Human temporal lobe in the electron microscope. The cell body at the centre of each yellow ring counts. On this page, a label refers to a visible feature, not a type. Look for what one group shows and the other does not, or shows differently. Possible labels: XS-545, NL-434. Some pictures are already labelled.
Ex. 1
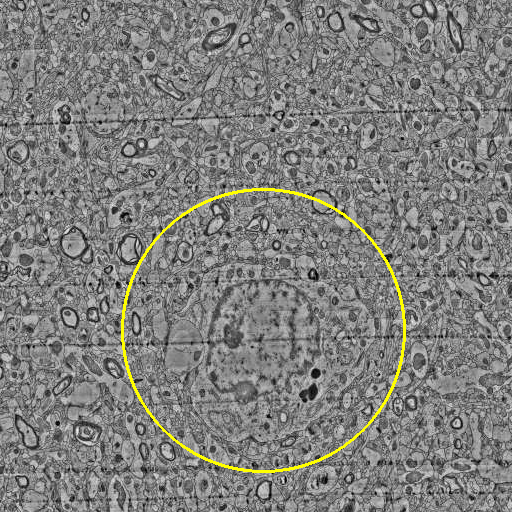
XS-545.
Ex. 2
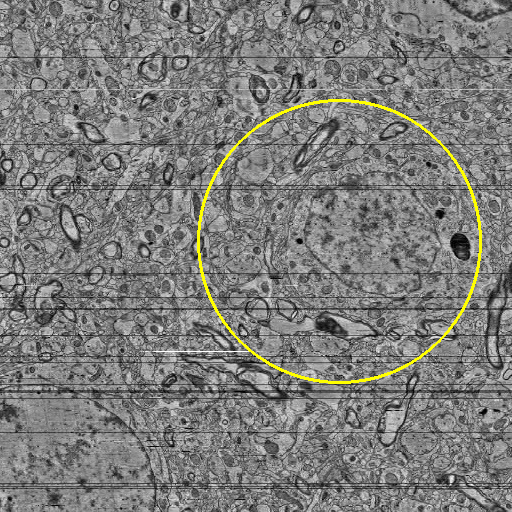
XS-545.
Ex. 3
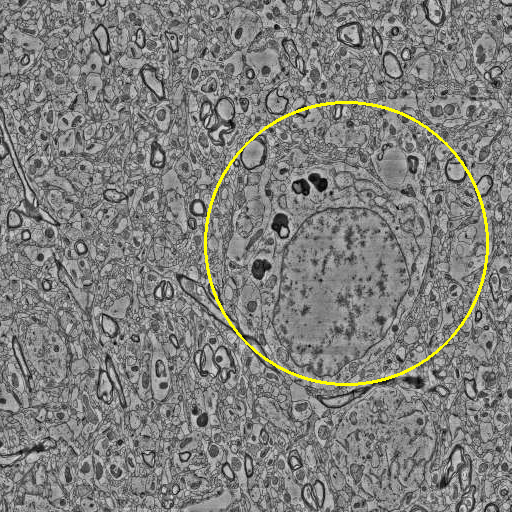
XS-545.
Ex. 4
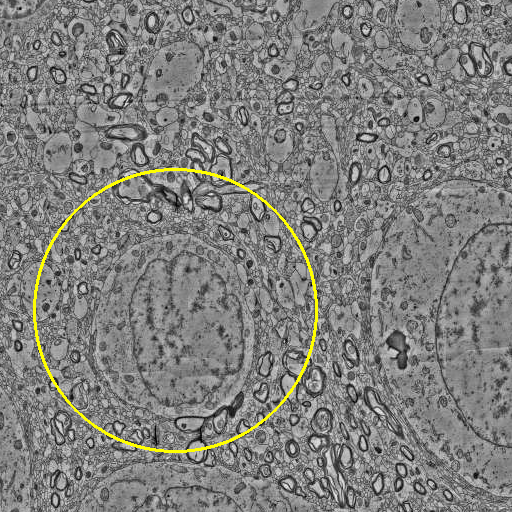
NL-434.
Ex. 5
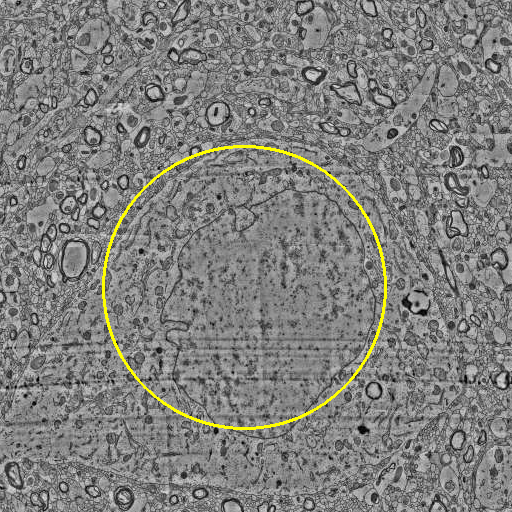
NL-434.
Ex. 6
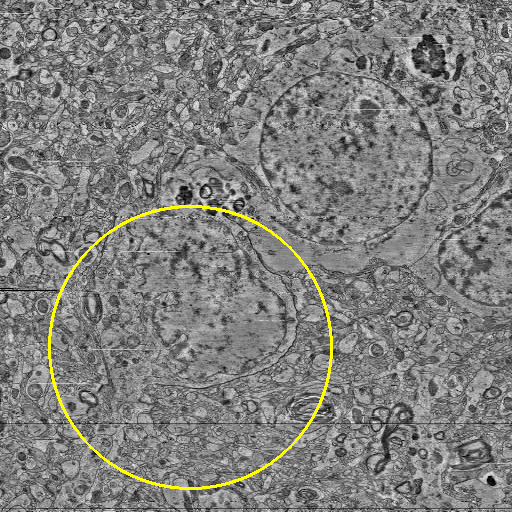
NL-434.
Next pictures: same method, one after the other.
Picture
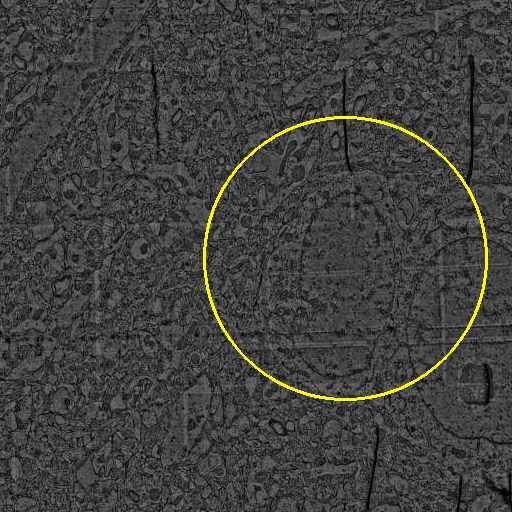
XS-545.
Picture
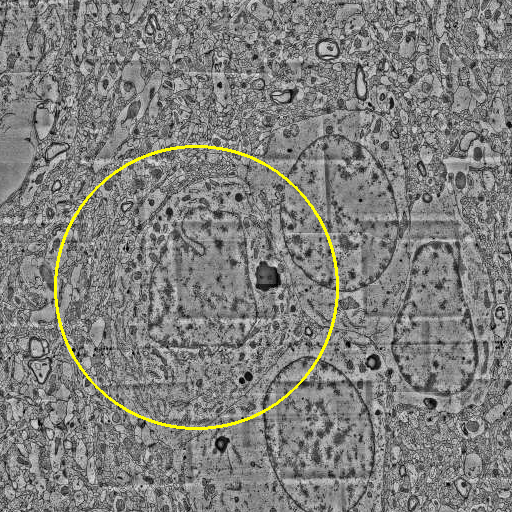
NL-434.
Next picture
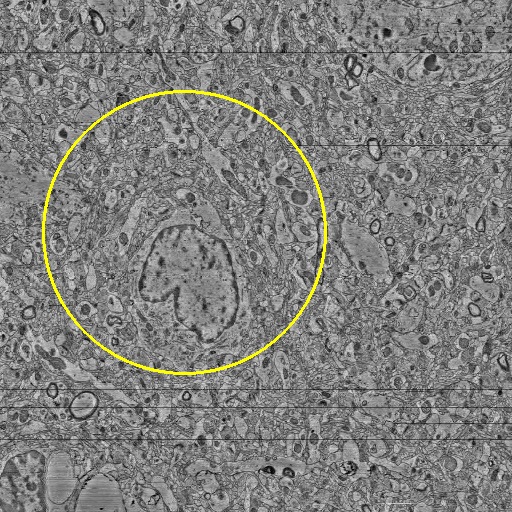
NL-434.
